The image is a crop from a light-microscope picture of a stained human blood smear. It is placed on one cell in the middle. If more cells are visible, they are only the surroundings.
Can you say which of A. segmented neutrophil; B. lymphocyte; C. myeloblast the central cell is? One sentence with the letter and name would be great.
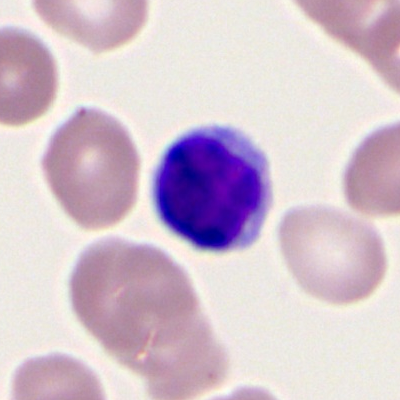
The correct response is option B, naming the cell in the middle as a lymphocyte.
